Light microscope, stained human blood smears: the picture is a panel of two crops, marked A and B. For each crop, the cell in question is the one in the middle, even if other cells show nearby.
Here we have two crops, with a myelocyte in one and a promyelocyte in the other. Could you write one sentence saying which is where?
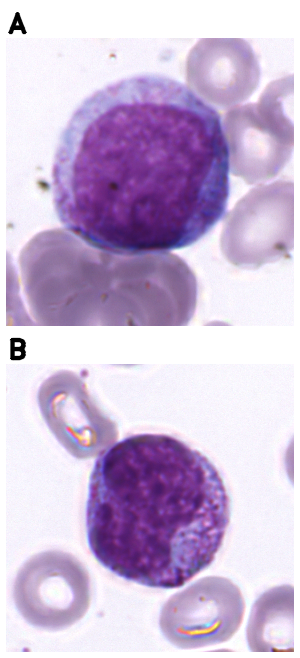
Placed in the middle of crop A is a promyelocyte, and in the middle of crop B, a myelocyte.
